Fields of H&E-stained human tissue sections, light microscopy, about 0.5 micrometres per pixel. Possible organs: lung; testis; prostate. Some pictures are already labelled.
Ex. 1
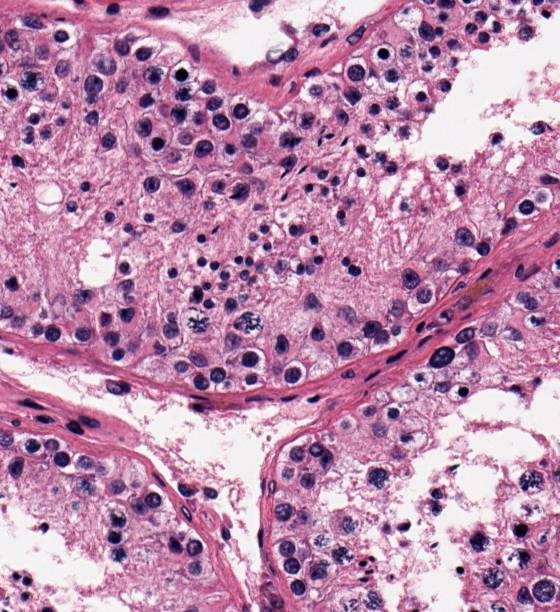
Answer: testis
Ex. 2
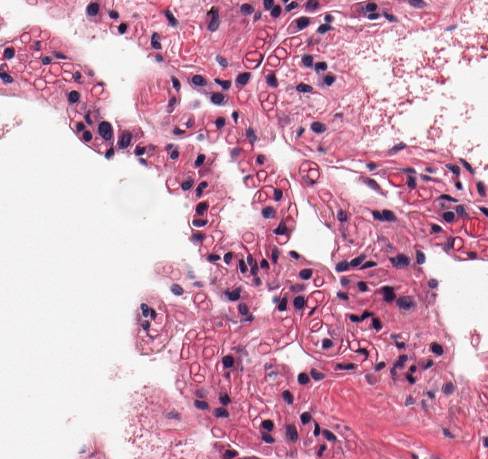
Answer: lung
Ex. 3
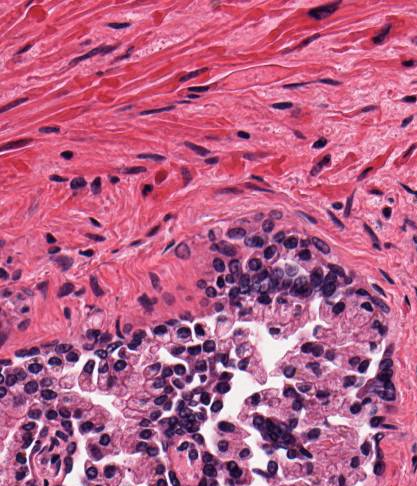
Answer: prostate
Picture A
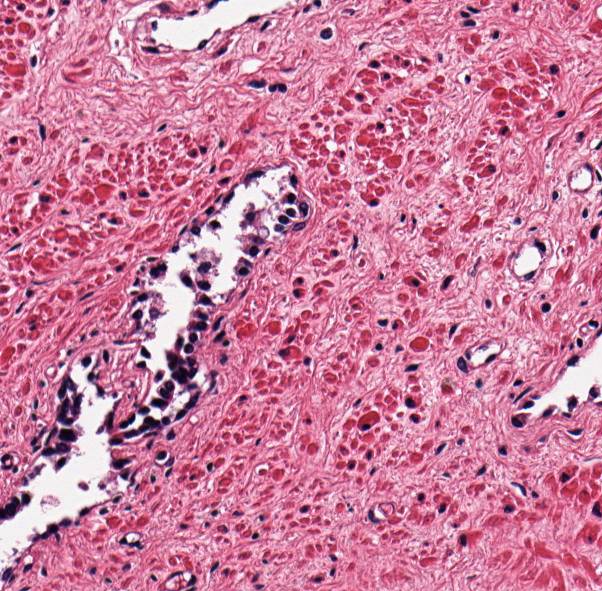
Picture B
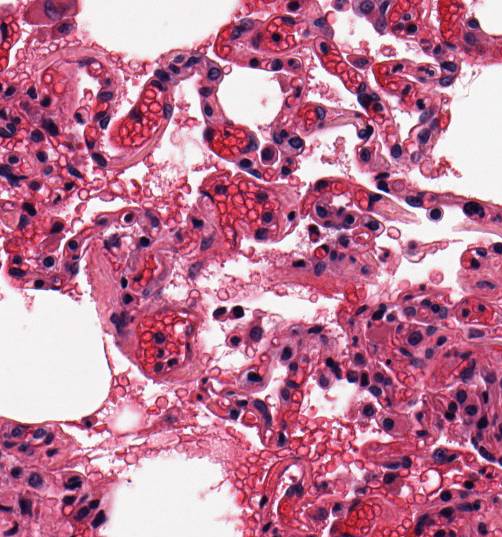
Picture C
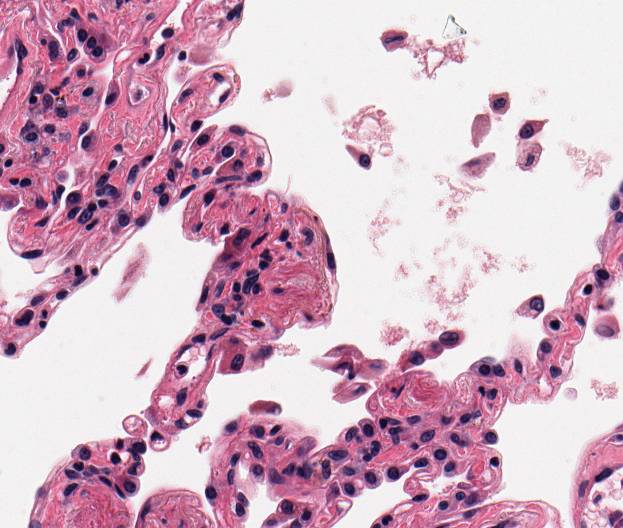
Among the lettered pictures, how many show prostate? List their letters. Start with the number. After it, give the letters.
Count: 1 (A)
